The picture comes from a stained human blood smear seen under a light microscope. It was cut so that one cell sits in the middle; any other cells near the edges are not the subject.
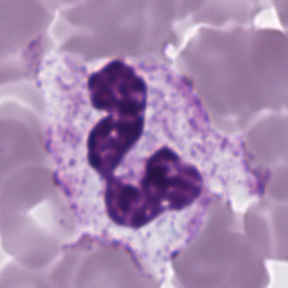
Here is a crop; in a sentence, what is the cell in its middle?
The crop's centre is taken up by a neutrophil.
